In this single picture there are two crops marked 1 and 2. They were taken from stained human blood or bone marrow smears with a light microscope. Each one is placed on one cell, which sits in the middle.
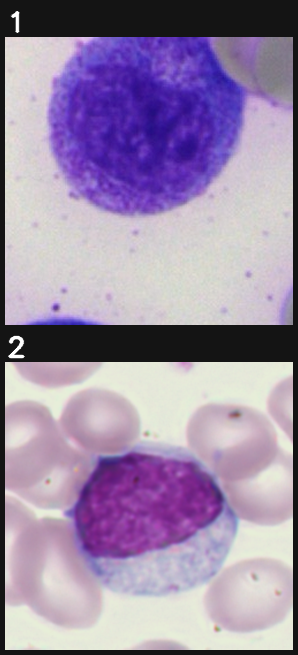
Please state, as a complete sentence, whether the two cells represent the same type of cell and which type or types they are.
Yes, that is right, both crops show myelocytes.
